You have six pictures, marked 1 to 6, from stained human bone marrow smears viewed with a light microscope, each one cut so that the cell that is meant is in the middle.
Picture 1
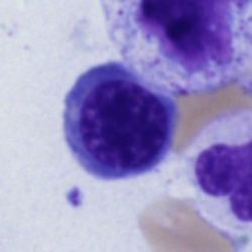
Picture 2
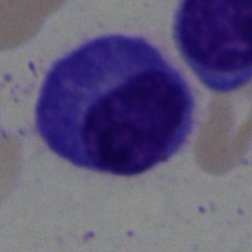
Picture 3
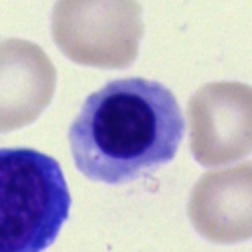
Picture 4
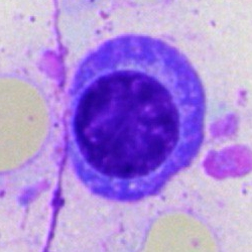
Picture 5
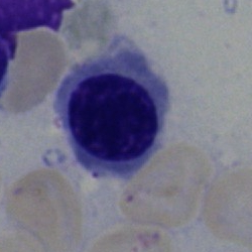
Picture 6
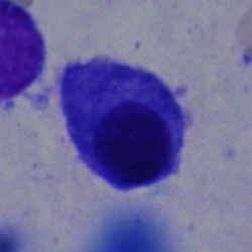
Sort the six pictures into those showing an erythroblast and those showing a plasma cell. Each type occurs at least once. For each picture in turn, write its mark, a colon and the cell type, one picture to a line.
1: erythroblast
2: plasma cell
3: erythroblast
4: plasma cell
5: erythroblast
6: plasma cell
